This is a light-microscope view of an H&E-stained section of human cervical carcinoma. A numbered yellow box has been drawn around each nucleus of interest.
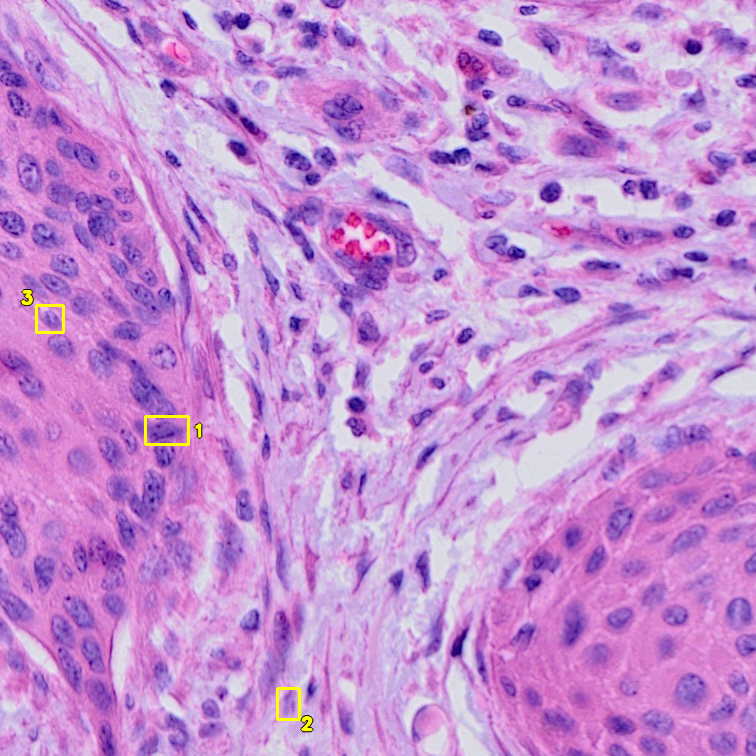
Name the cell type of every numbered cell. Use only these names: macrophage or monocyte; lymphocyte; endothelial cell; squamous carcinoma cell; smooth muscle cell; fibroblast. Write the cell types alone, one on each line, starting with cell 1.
squamous carcinoma cell
fibroblast
squamous carcinoma cell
